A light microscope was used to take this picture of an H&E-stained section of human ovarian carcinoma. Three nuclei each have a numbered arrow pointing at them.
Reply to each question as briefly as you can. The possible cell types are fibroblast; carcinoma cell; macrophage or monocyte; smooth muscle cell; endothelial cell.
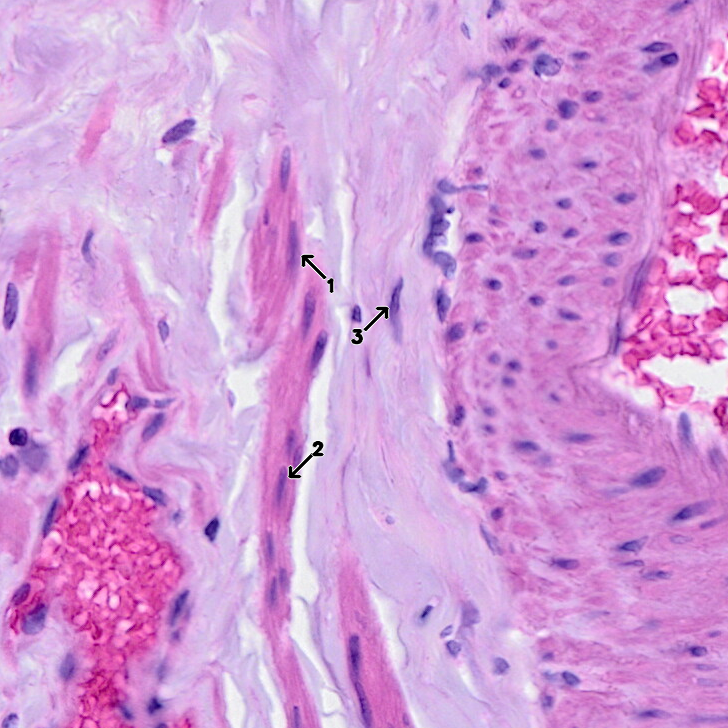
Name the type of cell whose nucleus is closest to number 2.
smooth muscle cell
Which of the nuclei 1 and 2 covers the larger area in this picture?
1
